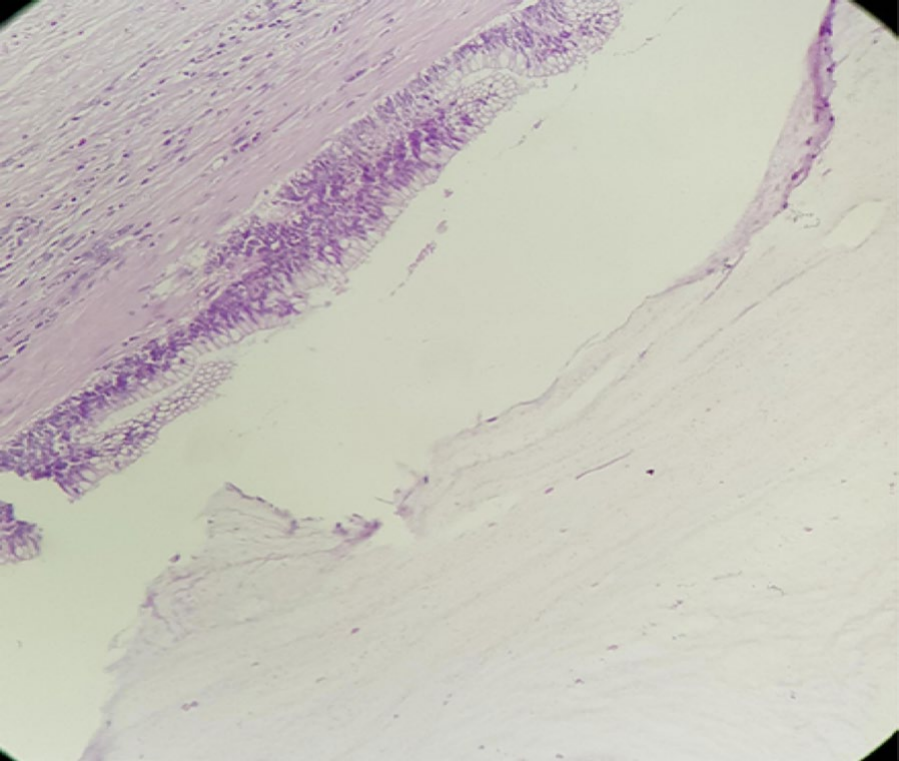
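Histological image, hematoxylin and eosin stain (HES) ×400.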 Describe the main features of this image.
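A cyst wall lined by mucinous pseudostratified epithelium. A pink fibrous wall with scattered elongated, spindle-shaped nuclei runs along the upper left. Along its inner face lies a band of tall columnar cells with purple nuclei crowded at varying levels. The cells have pale, clear, vacuolated apical cytoplasm, and folds of the lining project into the cavity. The cavity at lower right is filled with pale, faintly violet, streaky amorphous material with few cells.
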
